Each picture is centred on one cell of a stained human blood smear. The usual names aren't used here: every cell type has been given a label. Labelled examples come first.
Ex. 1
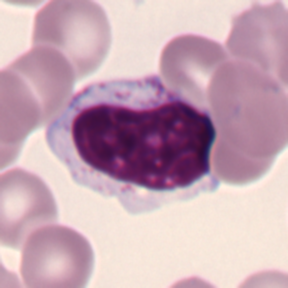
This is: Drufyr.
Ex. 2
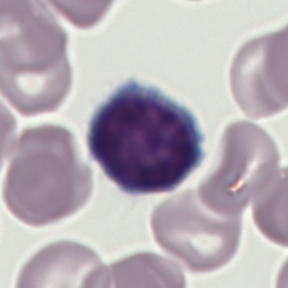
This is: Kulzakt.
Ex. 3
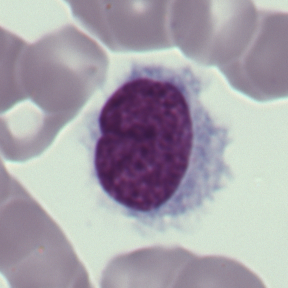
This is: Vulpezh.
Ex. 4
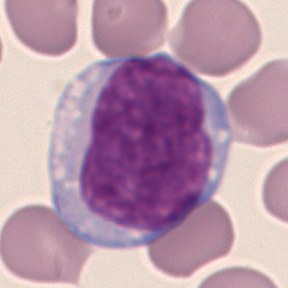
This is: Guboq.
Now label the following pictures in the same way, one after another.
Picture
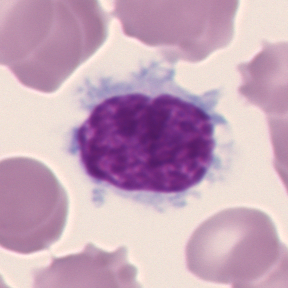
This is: Vulpezh.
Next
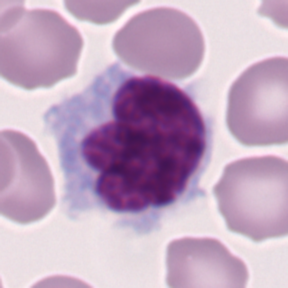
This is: Vulpezh.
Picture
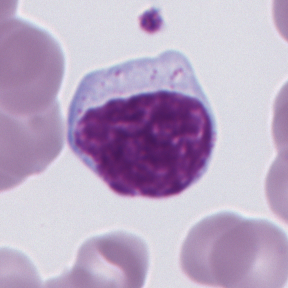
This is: Drufyr.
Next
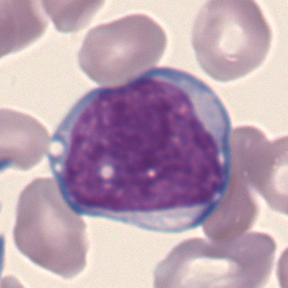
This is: Guboq.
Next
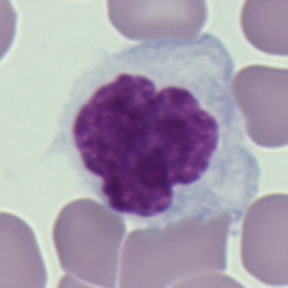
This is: Vulpezh.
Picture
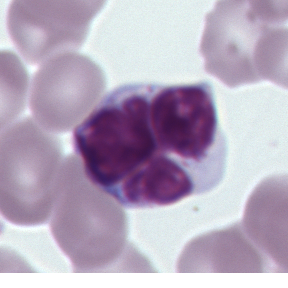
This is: Drufyr.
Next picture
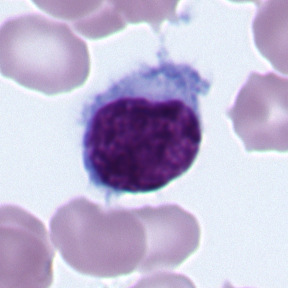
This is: Vulpezh.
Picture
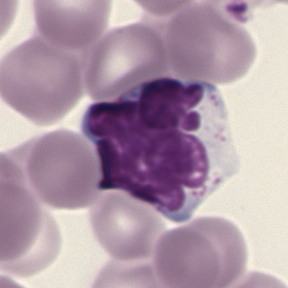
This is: Drufyr.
